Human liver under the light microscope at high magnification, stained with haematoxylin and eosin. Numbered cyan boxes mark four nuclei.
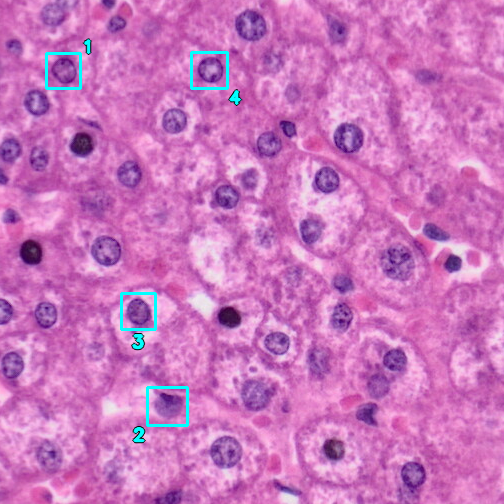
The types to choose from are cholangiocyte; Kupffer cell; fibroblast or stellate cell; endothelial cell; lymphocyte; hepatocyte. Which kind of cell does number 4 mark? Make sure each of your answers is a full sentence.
The cell given label 4 is a hepatocyte.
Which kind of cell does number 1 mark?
The cell assigned the number 1 is a hepatocyte.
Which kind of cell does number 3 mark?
At number 3, the marked cell is a hepatocyte.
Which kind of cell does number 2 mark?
The cell indicated with the number 2 is classed as an endothelial cell.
